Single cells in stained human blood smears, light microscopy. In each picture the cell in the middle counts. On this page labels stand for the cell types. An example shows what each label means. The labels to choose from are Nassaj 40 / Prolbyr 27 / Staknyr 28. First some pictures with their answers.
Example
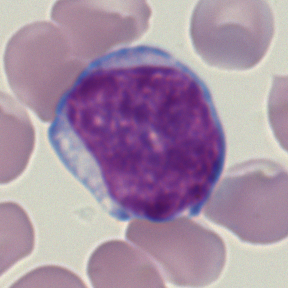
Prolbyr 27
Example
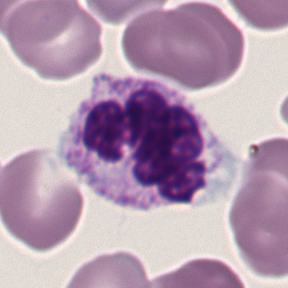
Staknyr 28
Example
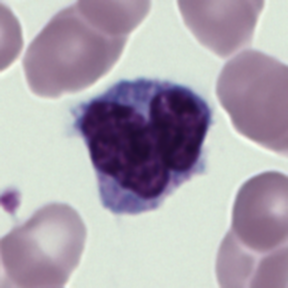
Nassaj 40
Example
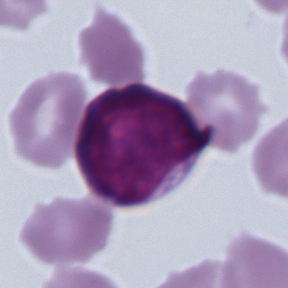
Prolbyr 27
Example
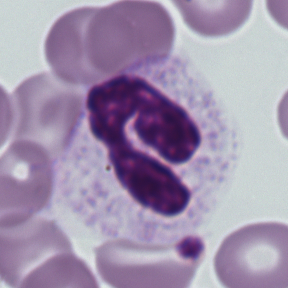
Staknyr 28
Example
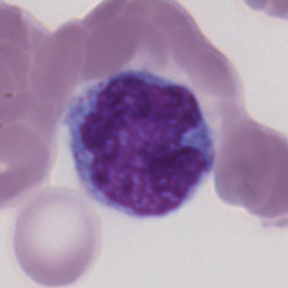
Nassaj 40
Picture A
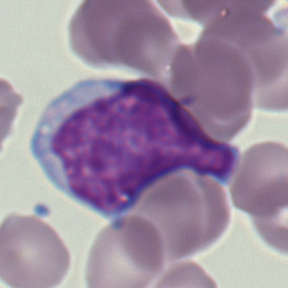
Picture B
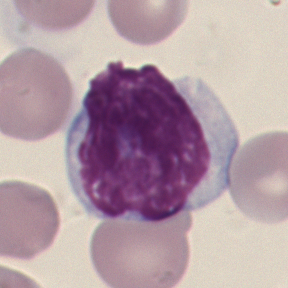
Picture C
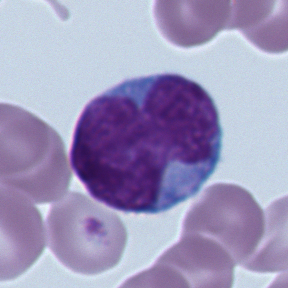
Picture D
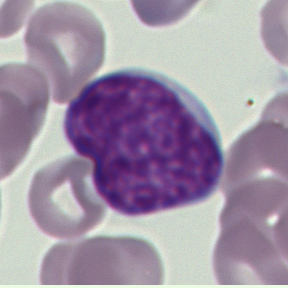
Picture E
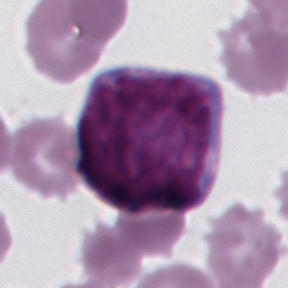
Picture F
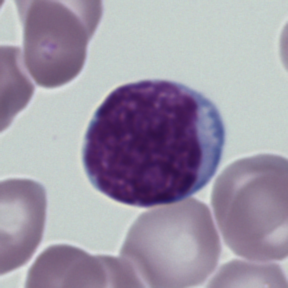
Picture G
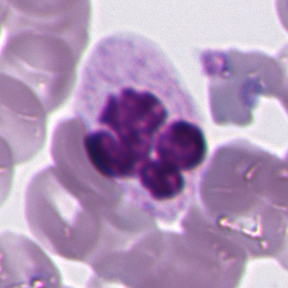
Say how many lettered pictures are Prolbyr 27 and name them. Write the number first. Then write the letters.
5: A, B, D, E, F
